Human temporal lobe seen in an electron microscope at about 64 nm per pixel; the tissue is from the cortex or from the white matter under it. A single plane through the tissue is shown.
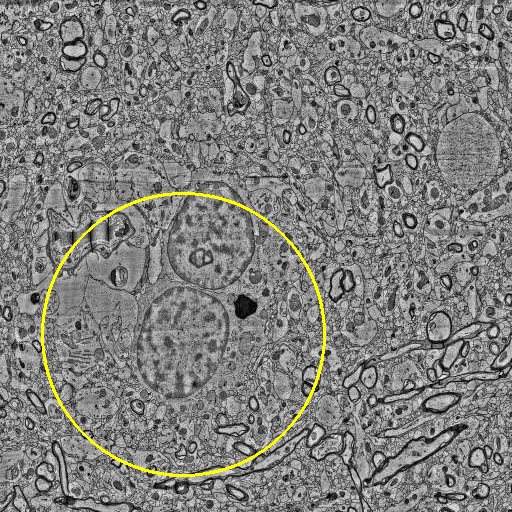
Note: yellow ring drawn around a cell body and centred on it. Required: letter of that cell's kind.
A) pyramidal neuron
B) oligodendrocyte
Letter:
B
